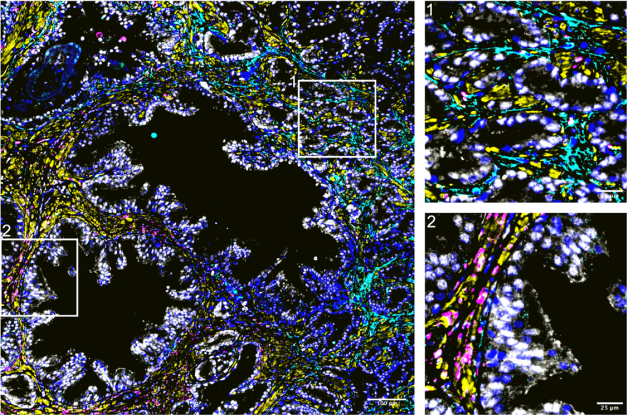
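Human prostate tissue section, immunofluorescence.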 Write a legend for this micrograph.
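The stroma is crowded with elongated, spindle-shaped cells whose cytoplasm is stained yellow or cyan, running in bundles between the glands. Epithelial cells lining the glands carry round to oval nuclei, many of which appear white. The enlarged views show the spindle cells in the stroma in closer detail, with a few magenta-stained cells lying in the thin stromal band next to a gland lining.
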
